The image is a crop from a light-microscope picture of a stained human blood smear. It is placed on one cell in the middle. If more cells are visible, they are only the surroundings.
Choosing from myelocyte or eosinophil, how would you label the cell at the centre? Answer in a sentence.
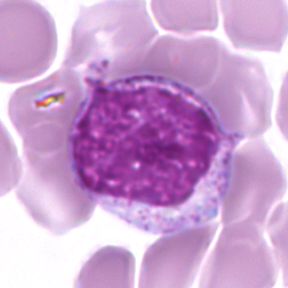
The cell the crop is centered on is a myelocyte.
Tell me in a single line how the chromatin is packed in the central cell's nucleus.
The chromatin pattern is fine and free of coarse clumps.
